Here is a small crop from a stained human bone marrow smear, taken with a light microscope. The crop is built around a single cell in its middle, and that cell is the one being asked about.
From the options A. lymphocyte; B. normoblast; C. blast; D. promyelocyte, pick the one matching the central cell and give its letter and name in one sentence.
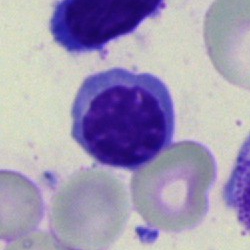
At the centre of the crop lies a normoblast, which makes option B correct.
